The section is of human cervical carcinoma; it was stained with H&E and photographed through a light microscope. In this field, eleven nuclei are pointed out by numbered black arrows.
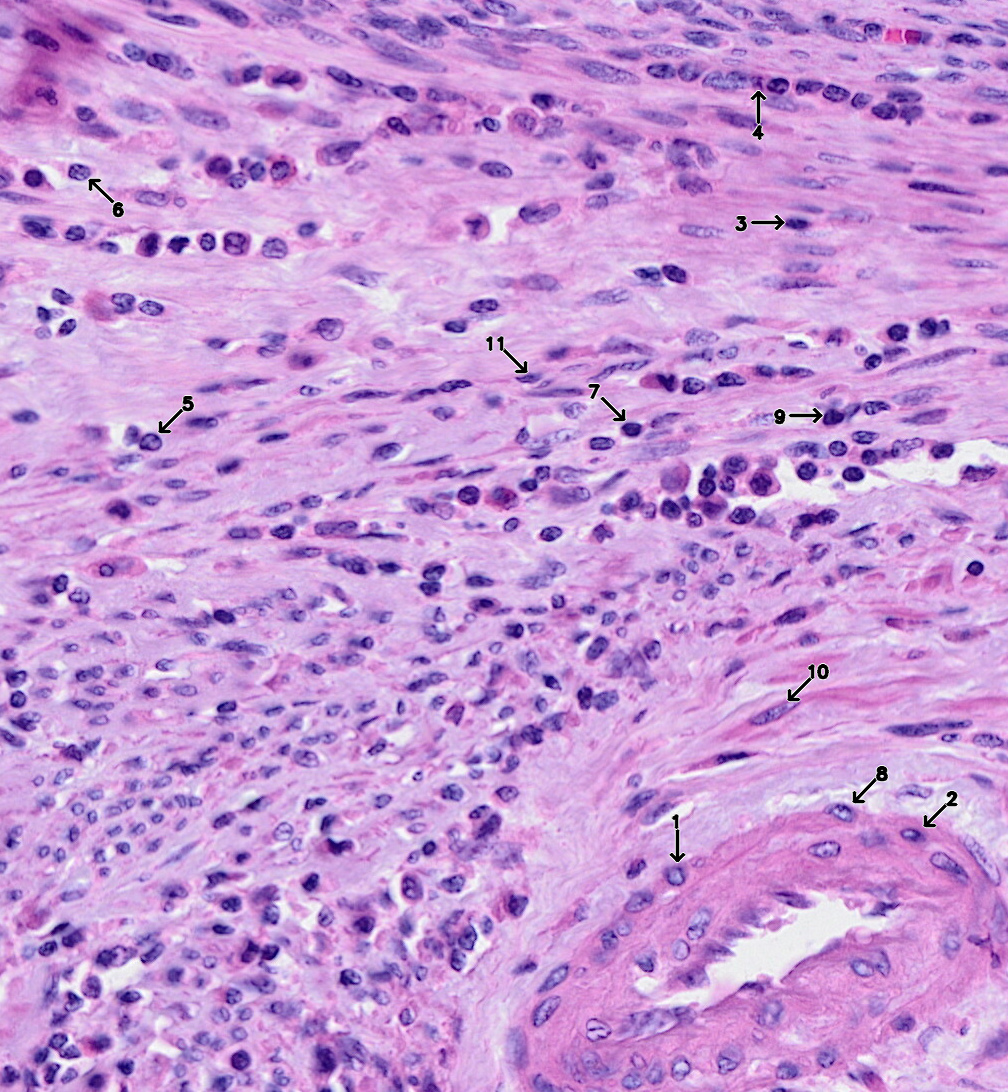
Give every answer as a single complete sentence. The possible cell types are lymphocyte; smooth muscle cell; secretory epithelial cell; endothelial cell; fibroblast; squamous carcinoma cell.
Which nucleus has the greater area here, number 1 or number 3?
Nucleus 1 is larger, with an area about 1.5 times that of nucleus 3.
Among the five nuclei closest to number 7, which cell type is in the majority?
The majority of the five nuclei closest to number 7 belong to fibroblasts.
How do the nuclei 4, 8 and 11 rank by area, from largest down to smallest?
Largest first, the order by area is 8, 11, 4.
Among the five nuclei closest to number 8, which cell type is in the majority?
The majority of the five nuclei closest to number 8 belong to smooth muscle cells.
